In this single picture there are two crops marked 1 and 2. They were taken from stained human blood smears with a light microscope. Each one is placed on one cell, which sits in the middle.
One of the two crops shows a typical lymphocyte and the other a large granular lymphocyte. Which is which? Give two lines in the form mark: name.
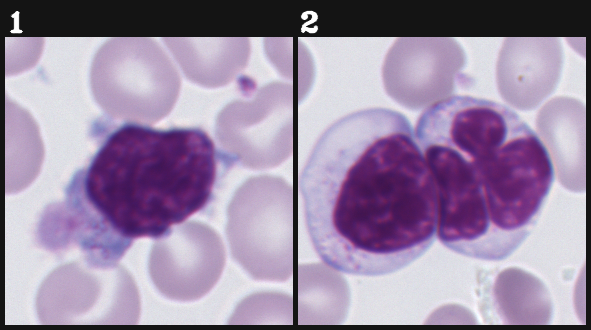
1: typical lymphocyte
2: large granular lymphocyte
